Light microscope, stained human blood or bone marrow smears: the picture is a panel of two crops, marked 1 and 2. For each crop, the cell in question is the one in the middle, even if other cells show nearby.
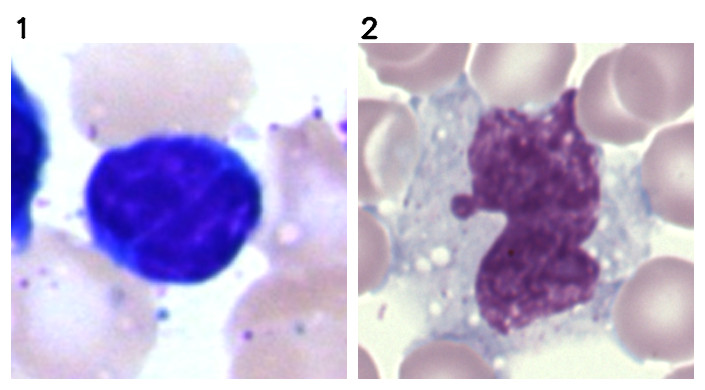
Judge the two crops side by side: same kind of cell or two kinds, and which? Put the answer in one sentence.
No, while a lymphocyte is found in crop 1, a monocyte is found in crop 2.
